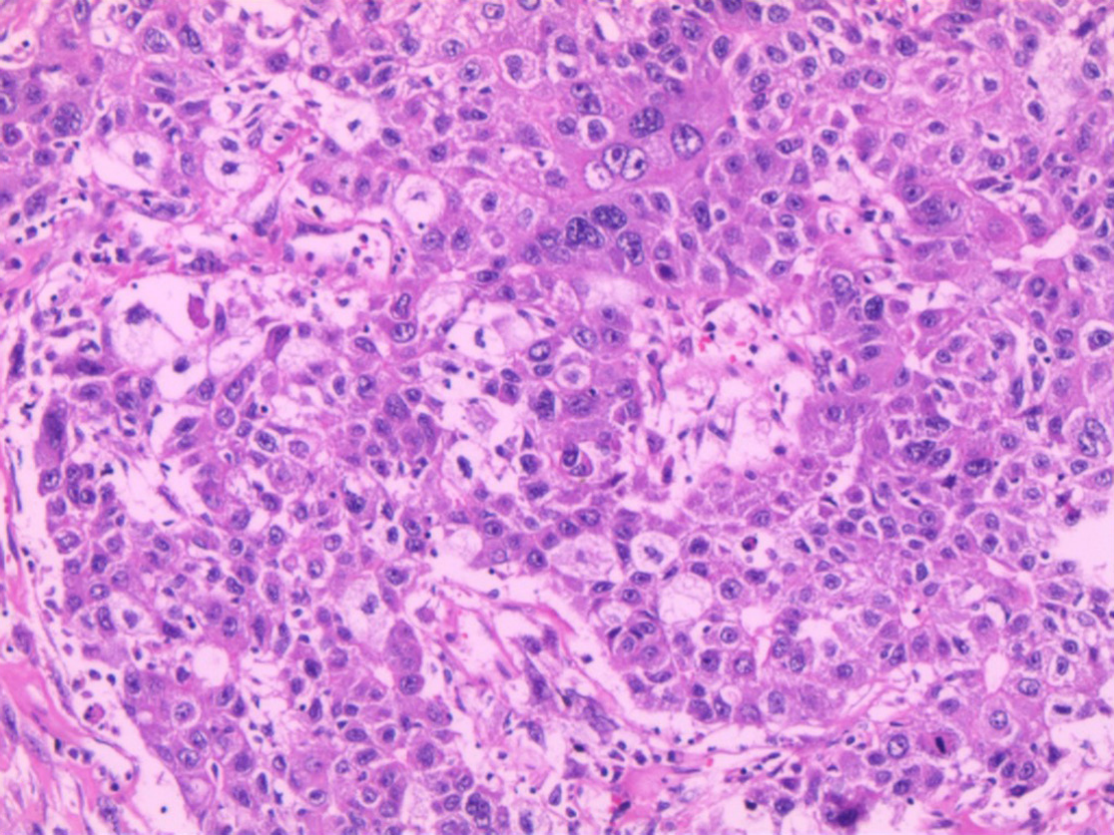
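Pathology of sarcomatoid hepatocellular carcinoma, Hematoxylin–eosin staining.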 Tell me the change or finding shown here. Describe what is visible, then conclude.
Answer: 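Nuclei were enlarged. The nuclei are large relative to the cells. The nuclei vary in size and shape from cell to cell. Many nuclei have prominent nucleoli.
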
